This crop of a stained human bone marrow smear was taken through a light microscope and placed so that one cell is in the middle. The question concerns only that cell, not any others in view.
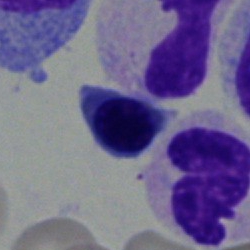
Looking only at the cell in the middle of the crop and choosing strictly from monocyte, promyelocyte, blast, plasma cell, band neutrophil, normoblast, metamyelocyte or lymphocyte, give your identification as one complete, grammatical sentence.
The middle position in this crop is taken by a normoblast.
